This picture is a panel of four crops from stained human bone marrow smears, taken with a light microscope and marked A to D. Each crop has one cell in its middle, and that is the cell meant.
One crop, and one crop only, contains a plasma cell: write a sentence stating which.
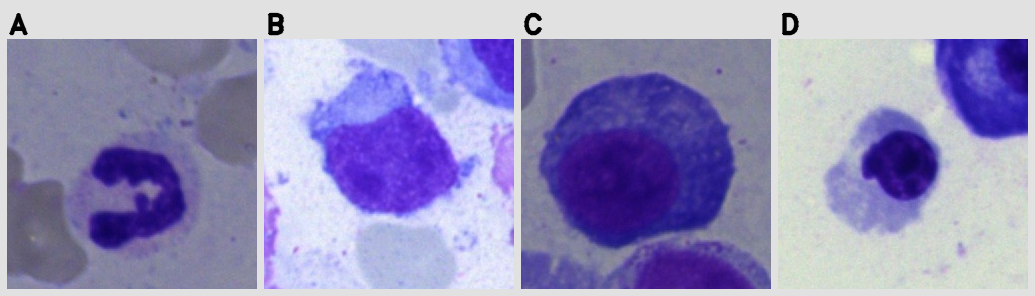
Crop C is where a plasma cell is shown.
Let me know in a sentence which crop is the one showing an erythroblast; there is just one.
It is crop D, not any other, that shows an erythroblast.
